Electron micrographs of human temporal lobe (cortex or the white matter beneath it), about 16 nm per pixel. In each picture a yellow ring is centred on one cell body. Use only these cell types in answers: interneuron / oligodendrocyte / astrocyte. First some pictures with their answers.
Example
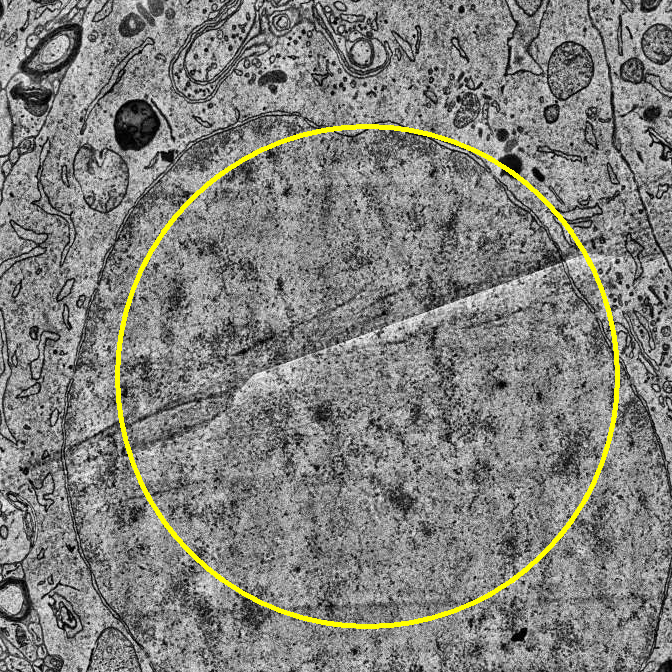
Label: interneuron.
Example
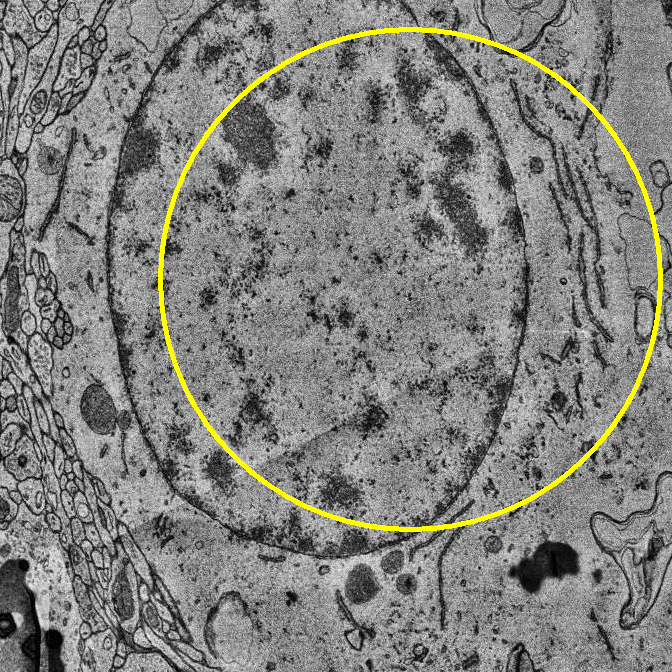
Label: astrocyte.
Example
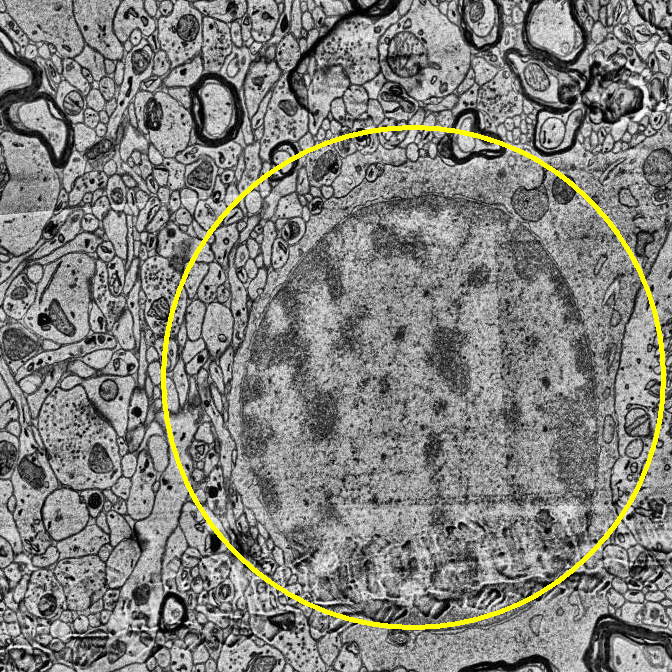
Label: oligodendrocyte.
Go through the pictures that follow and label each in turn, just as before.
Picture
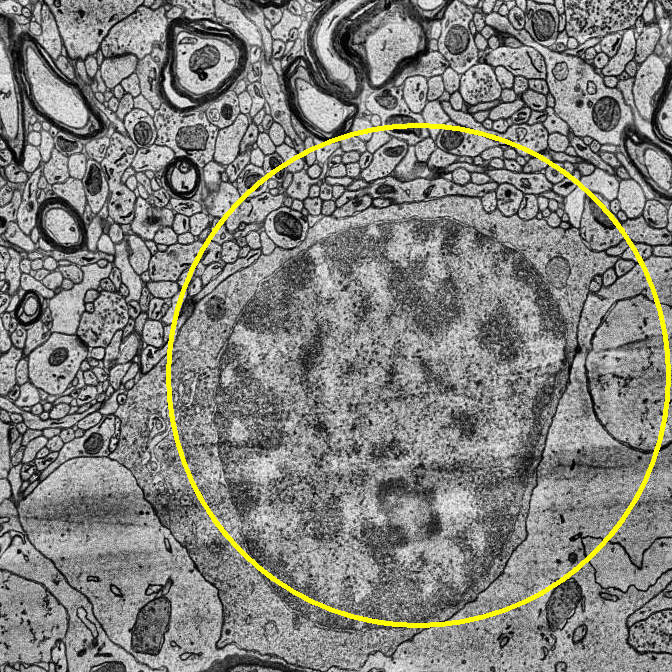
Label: oligodendrocyte.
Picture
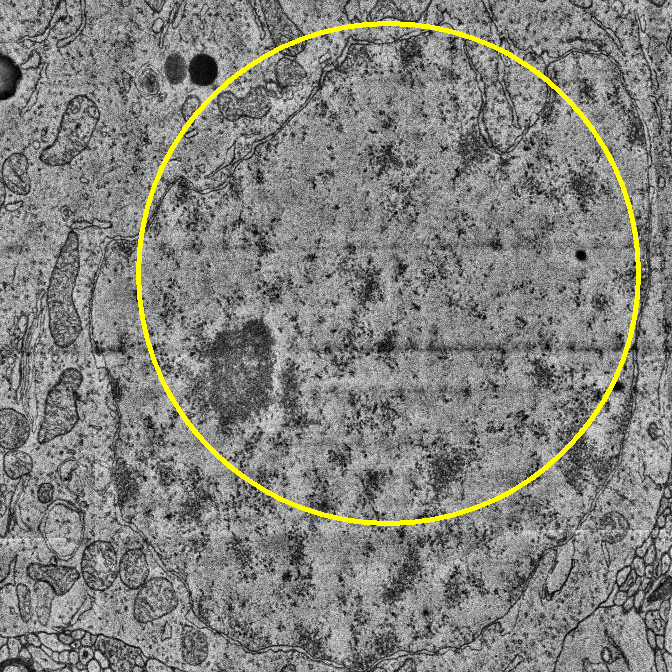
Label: interneuron.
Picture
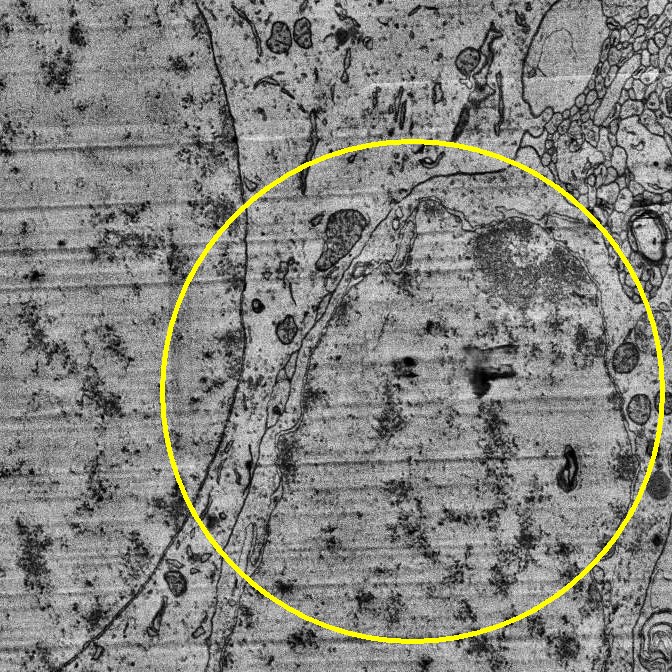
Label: interneuron.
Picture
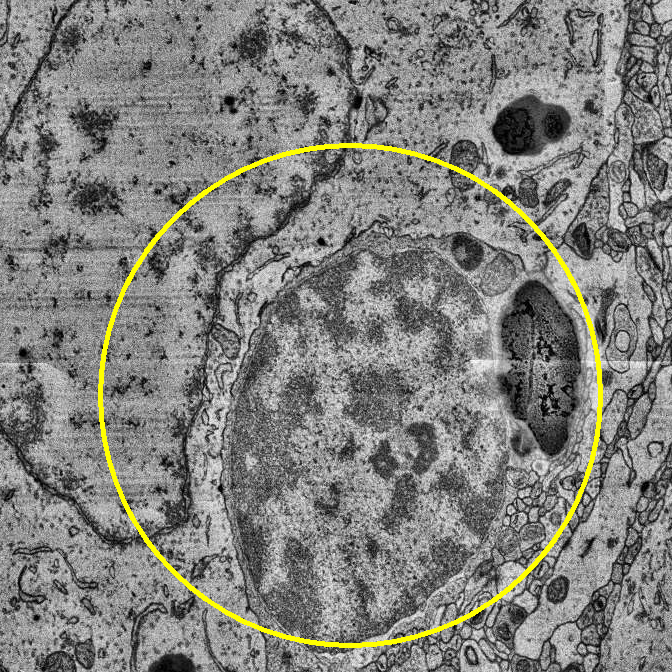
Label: oligodendrocyte.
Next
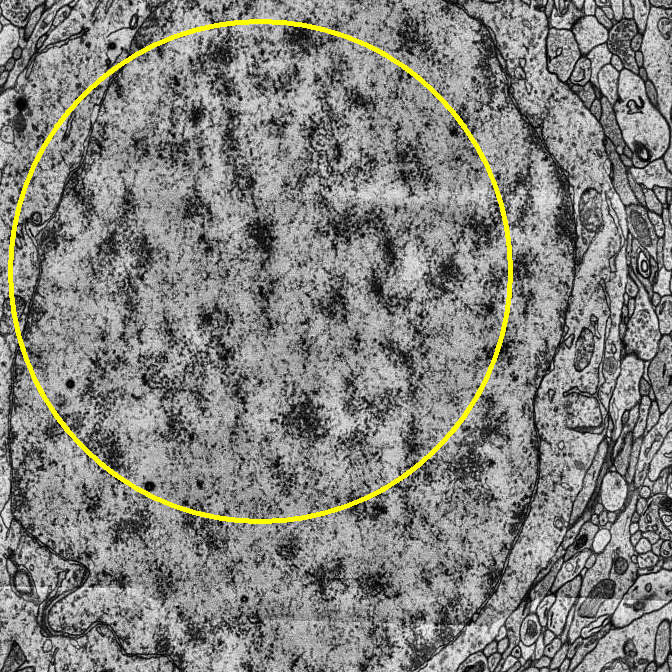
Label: interneuron.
